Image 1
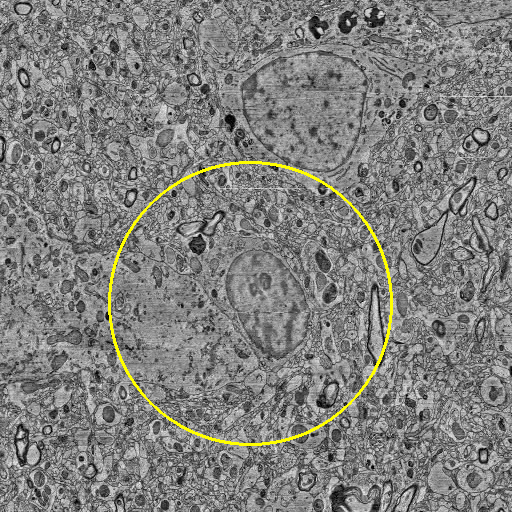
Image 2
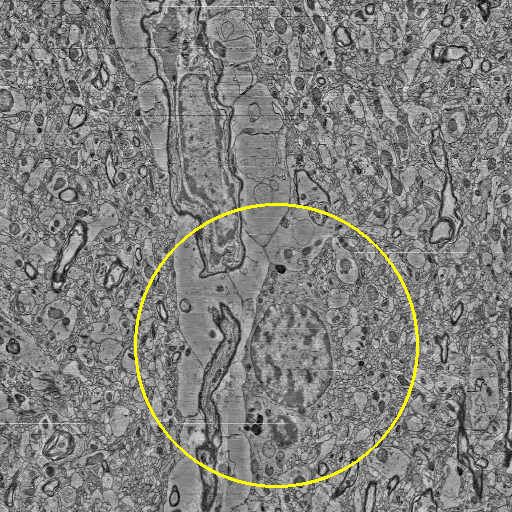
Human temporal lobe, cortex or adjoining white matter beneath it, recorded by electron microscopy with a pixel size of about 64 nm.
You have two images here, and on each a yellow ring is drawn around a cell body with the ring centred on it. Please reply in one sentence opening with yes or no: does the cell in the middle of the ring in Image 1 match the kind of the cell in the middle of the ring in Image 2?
Yes, the two images show cells of one kind at the centres of their rings.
